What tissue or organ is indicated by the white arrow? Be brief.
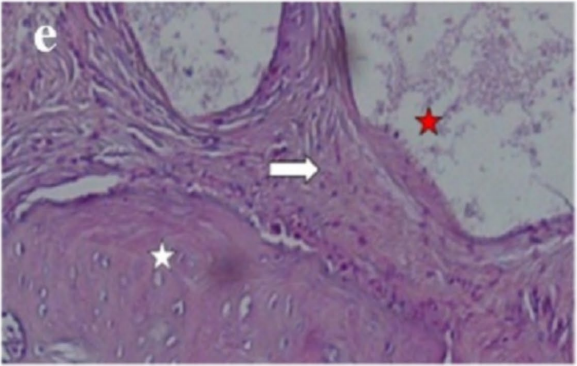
connective tissue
